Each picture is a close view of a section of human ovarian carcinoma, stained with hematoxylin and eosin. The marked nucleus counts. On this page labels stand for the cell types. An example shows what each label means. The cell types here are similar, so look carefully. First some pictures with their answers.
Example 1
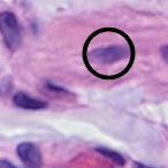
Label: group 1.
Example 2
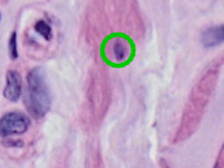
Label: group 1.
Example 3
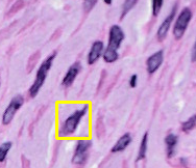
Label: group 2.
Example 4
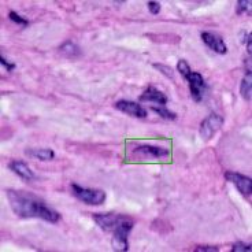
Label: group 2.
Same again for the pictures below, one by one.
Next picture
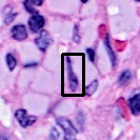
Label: group 2.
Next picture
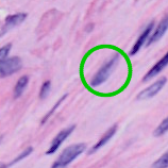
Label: group 1.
